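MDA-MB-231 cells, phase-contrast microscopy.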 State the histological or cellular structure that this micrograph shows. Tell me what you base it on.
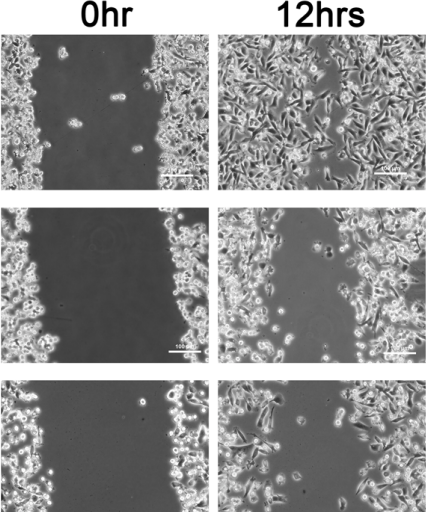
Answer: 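Wound. A cell-free band runs vertically between two sheets of cultured cells. The band is wide and empty in the left-hand images. Cells have moved into the band in the right-hand images.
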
